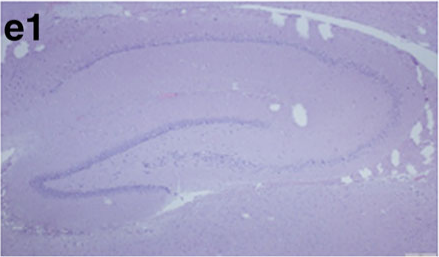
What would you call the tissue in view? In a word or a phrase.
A: hippocampus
